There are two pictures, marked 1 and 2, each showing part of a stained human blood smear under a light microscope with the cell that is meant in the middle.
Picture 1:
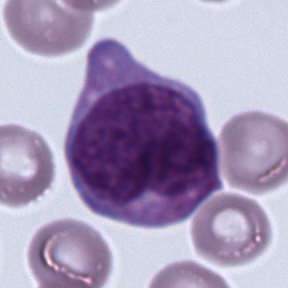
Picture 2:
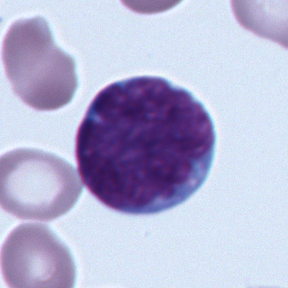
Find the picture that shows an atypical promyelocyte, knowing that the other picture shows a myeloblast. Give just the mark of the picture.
1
